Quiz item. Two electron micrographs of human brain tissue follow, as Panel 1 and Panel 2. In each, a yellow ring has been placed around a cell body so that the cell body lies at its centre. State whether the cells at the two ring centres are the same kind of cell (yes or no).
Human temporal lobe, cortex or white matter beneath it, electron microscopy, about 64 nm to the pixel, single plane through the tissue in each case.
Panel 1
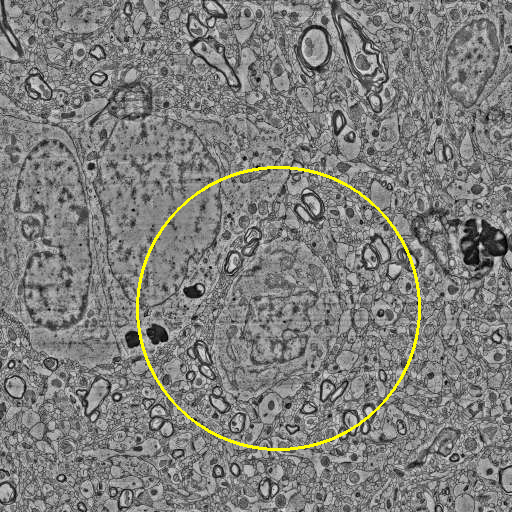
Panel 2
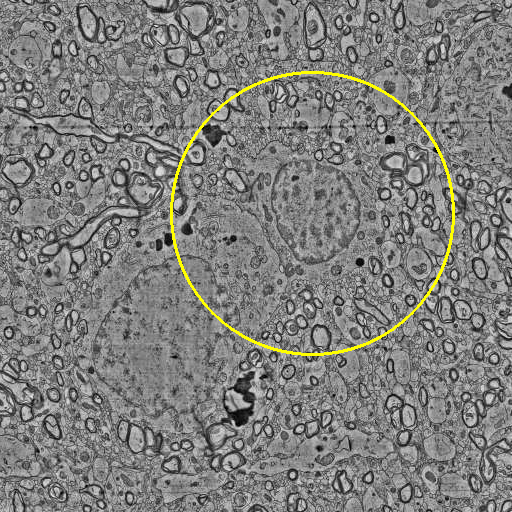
no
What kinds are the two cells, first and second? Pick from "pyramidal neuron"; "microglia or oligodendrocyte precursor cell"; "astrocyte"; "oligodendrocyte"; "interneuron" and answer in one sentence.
The second picture holds an oligodendrocyte in its ring, and the first holds an interneuron.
